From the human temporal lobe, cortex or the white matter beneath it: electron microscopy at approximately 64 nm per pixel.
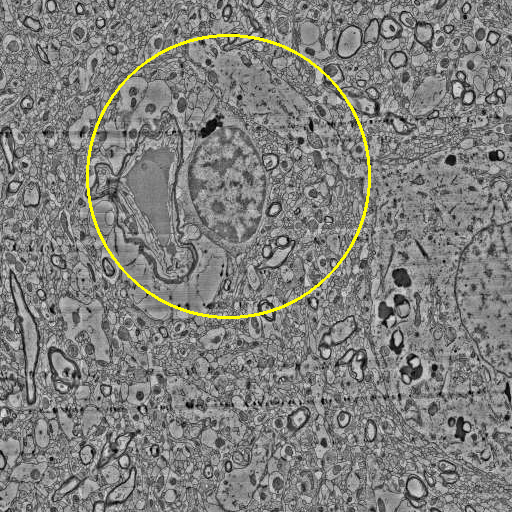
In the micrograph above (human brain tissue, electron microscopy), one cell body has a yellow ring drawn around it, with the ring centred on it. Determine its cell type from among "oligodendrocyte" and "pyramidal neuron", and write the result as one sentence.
The cell whose body is ringed is an oligodendrocyte.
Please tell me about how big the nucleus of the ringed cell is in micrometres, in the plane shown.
In this plane, about 8 by 5 micrometres: the nucleus is clearly longer than it is wide.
